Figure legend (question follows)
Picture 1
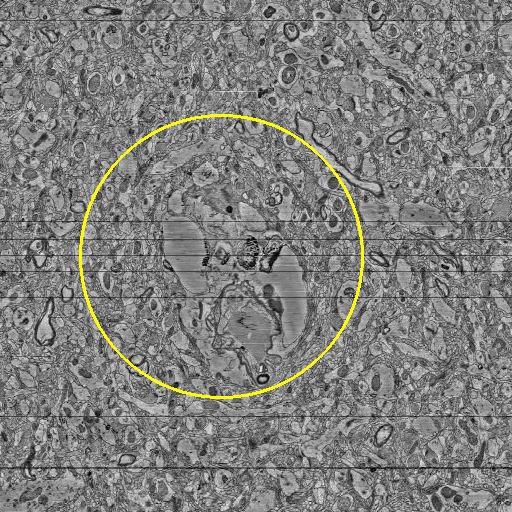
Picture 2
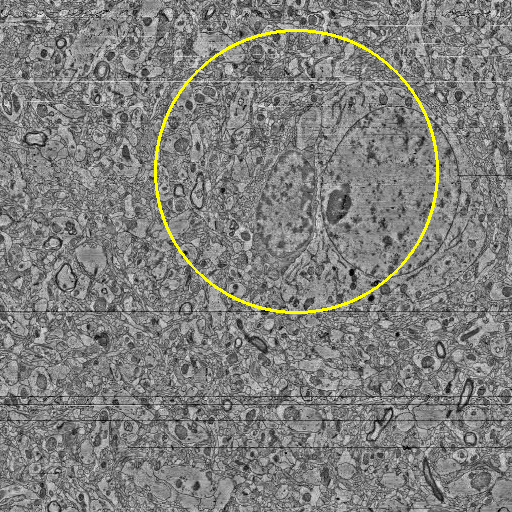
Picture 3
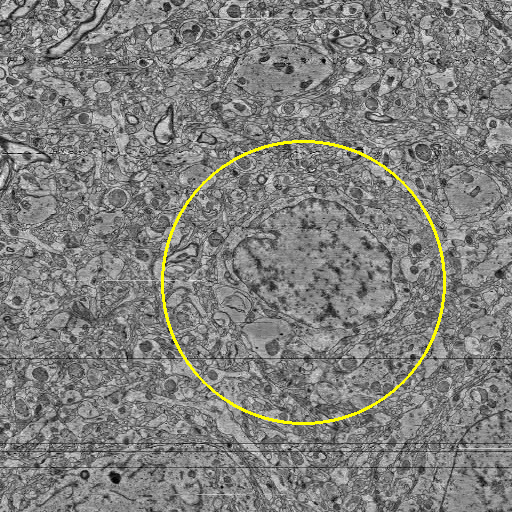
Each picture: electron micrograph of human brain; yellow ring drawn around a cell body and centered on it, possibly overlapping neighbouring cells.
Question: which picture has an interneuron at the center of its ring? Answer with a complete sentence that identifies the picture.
Picture 3 has it at the center of its ring.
